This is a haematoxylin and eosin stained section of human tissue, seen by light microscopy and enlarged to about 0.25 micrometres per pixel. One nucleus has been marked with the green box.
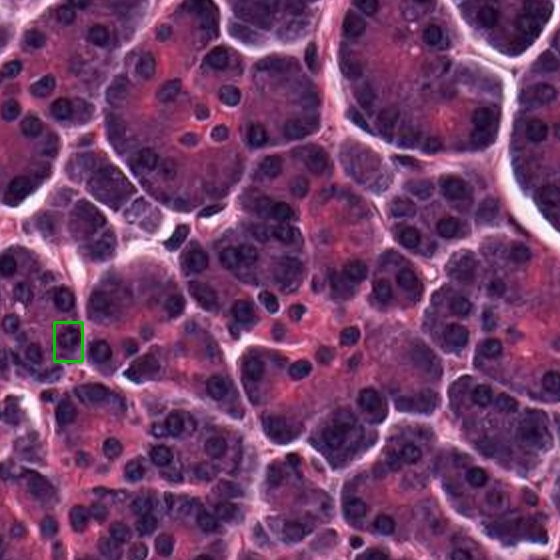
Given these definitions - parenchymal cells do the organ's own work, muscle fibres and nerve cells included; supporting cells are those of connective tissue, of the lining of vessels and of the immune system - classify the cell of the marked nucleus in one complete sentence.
The marked nucleus belongs to a pancreatic acinar cell, a parenchymal cell.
